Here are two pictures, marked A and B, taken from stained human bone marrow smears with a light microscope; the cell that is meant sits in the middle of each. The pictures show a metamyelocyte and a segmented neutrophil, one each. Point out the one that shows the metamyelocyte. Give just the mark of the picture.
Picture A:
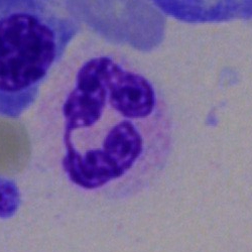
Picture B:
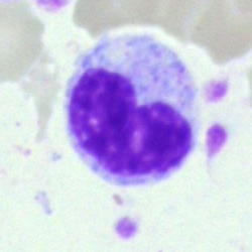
B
